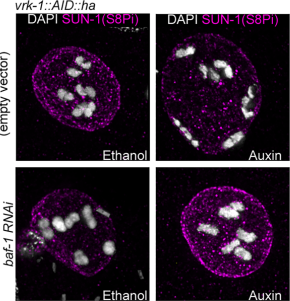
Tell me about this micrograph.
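Four single large oocyte nuclei, each round and bounded by a fine punctate magenta rim at the nuclear periphery. Inside each nucleus lie several separate, compact, brightly white chromatin bodies scattered in a mostly empty nucleoplasm.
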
